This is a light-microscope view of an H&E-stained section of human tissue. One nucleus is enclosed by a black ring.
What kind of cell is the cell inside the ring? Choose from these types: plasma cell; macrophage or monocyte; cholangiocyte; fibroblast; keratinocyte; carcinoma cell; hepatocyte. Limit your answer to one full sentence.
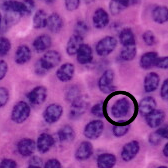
The category to which the cell inside the ring belongs is that of a plasma cell.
